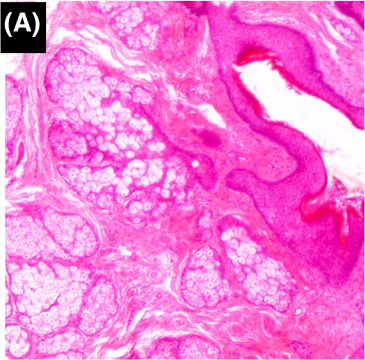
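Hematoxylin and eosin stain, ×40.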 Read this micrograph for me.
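Here is skin with sebaceous glands at low power. On the right a stratified squamous epithelium, stained deep pink, lines a cleft that contains layered red keratin. To the left lie several rounded lobules of sebaceous cells whose cytoplasm is pale and foamy, full of small clear vacuoles. The lobules are separated by strands of pink fibrous connective tissue, and one lobule connects toward the epithelium.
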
